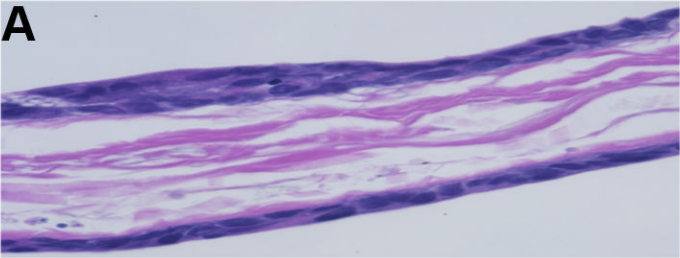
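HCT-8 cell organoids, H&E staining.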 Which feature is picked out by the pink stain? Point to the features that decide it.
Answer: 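Scaffold. Pale pink wavy fibrous strands run lengthwise through the middle of the section. The pink strands carry almost no nuclei. Purple cell layers lie along the top and bottom, outside the pink strands.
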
